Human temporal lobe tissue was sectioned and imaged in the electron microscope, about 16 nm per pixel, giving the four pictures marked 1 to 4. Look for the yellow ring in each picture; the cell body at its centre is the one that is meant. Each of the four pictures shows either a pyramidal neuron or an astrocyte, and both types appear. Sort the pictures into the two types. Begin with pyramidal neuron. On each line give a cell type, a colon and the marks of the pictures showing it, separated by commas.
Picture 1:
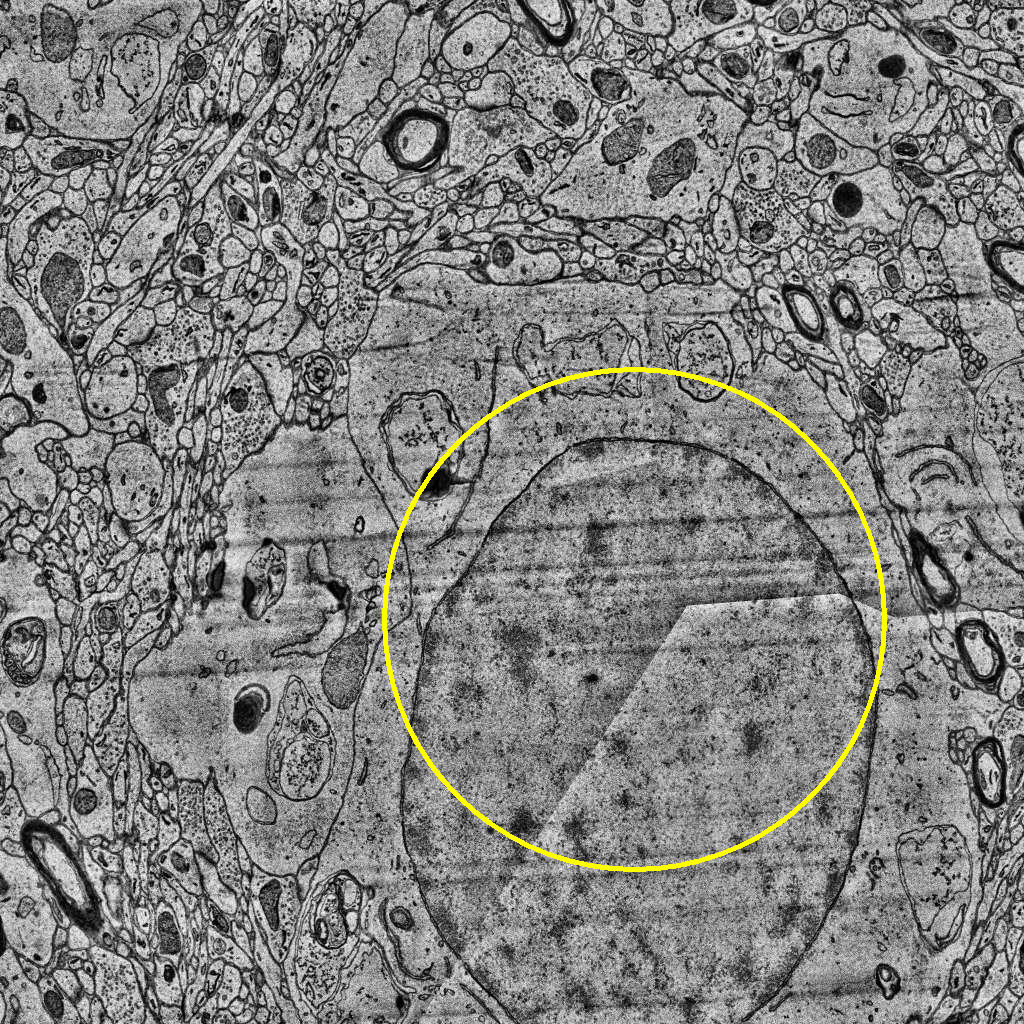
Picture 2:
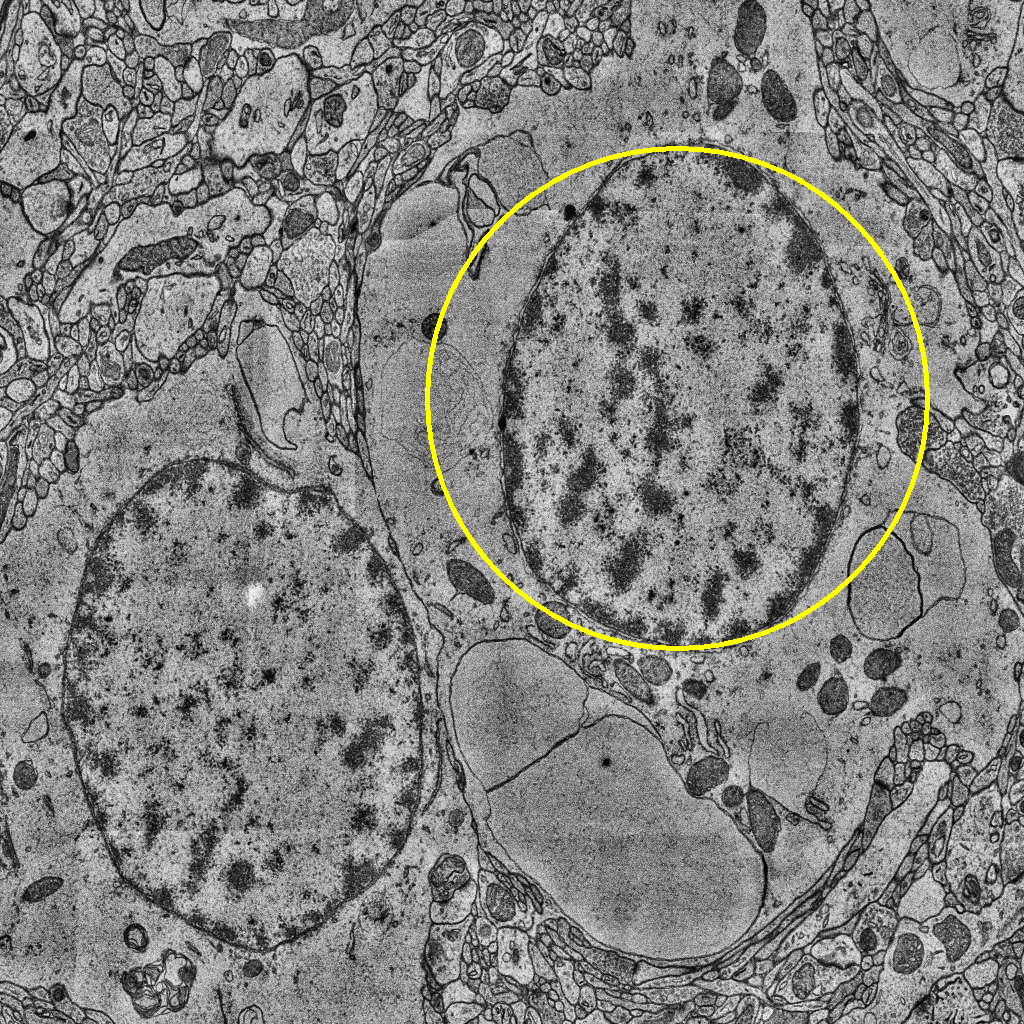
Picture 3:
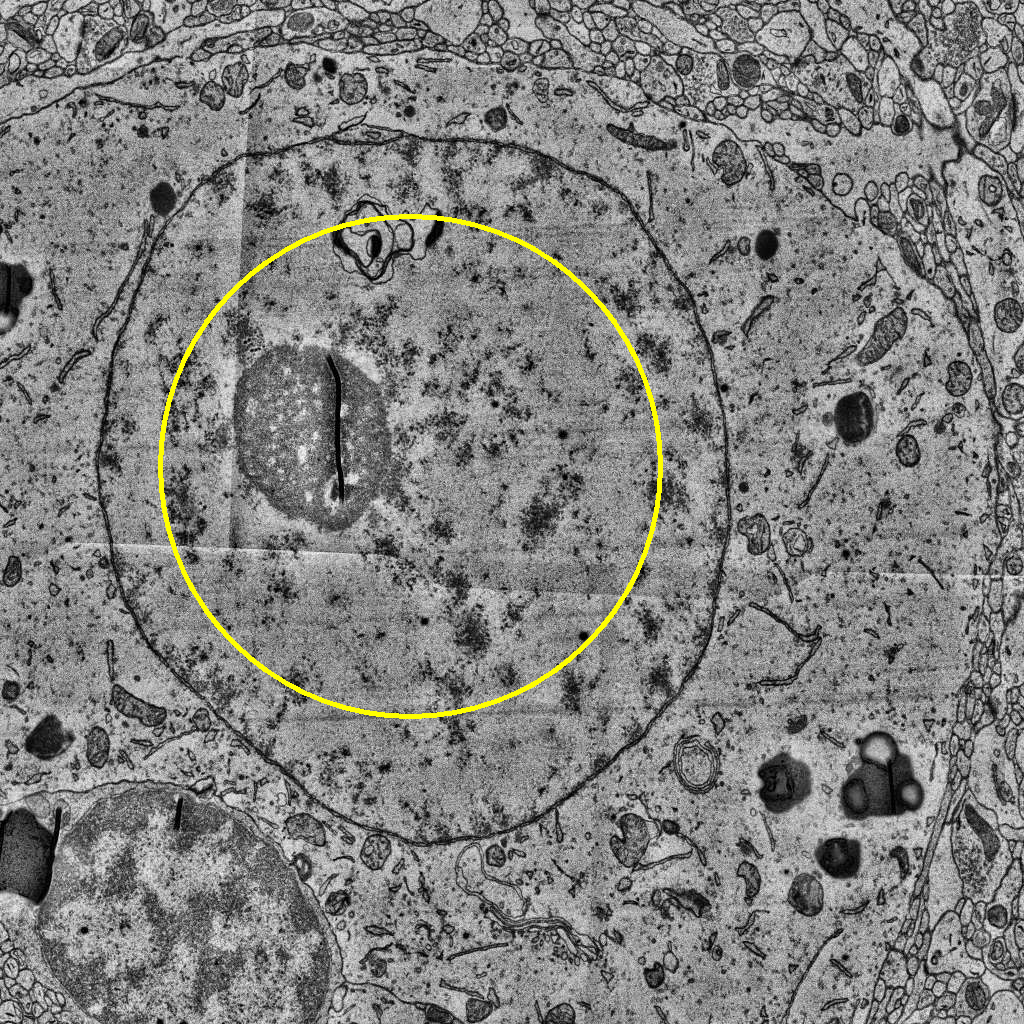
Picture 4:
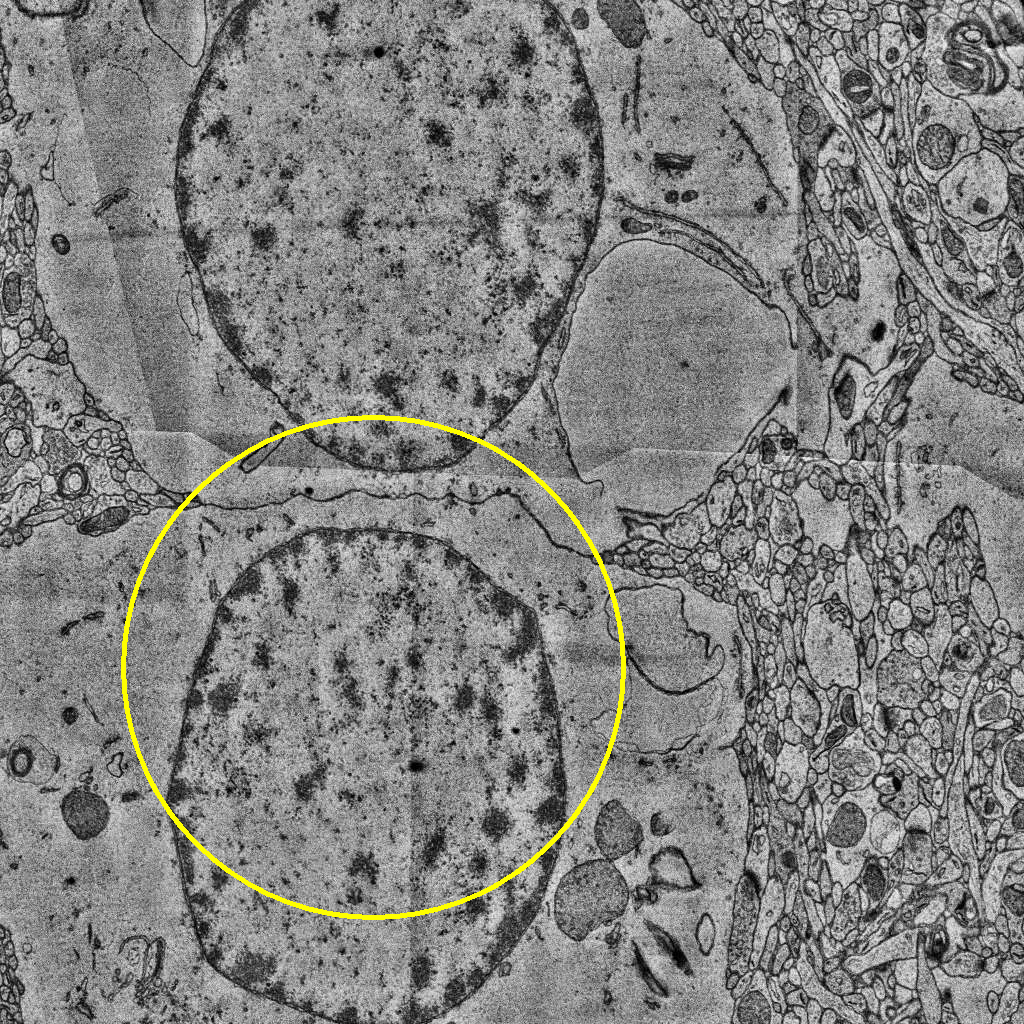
pyramidal neuron: 3
astrocyte: 1, 2, 4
